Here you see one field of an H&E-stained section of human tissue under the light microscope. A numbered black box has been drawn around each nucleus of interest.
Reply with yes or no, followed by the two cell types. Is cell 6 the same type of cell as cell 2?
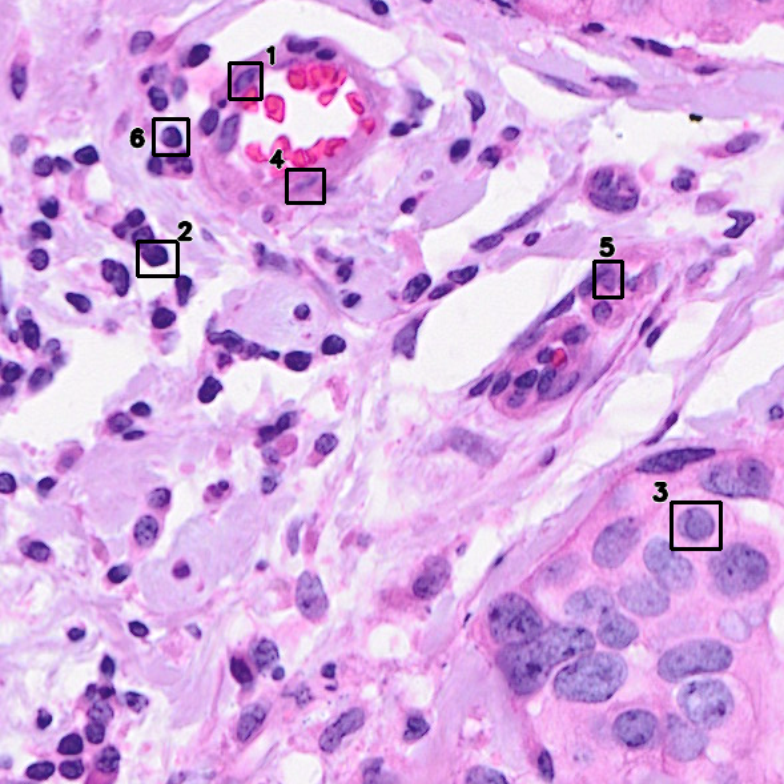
Yes, going by number, cells 6 and 2 are both lymphocytes.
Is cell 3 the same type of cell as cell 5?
No, cell 3 is a carcinoma cell, and cell 5 is, by contrast, an endothelial cell.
